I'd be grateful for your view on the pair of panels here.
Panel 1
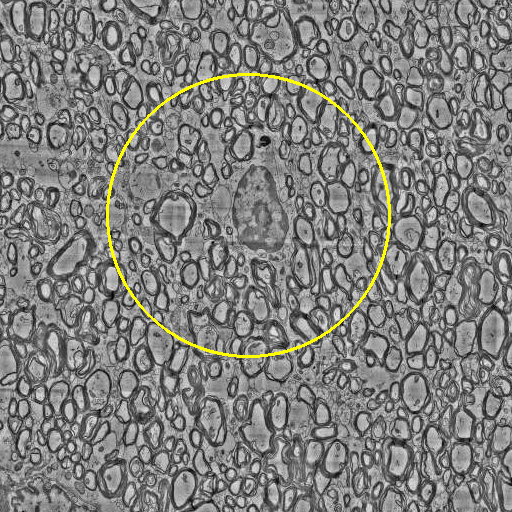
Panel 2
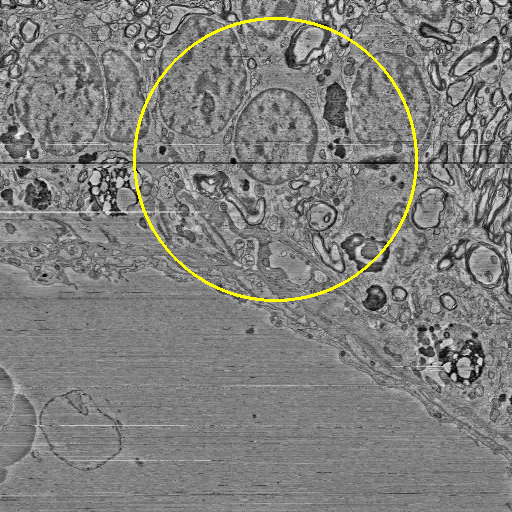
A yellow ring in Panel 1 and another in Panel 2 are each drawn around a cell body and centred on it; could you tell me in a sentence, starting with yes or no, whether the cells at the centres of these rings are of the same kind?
No, they are two kinds of cell.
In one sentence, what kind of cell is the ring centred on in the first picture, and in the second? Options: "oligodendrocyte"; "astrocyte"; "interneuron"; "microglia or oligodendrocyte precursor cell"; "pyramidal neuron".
The cell at the centre of the second ring is an oligodendrocyte; the first ring's cell is a microglial cell or oligodendrocyte precursor cell.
